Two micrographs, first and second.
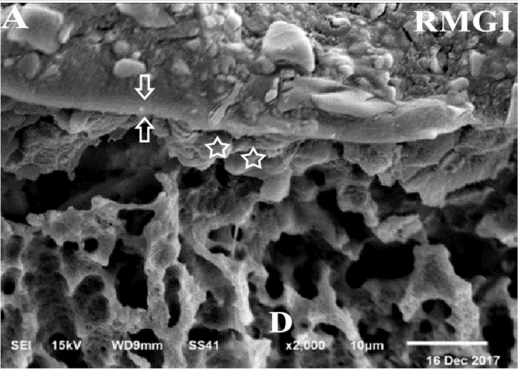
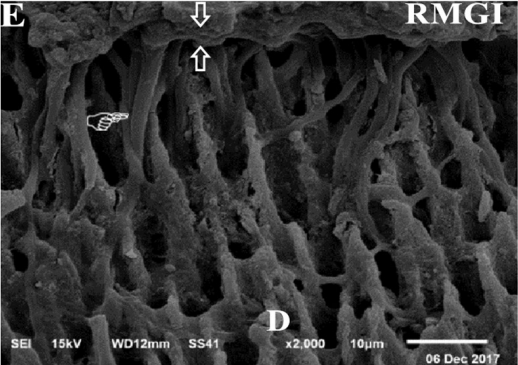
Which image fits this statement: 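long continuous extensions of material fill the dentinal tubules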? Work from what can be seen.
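The second image. Second image: many long, unbroken rods run from the interface deep into the tubules. First image: the dentin below the interface is porous with empty openings and no rods extending into it.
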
